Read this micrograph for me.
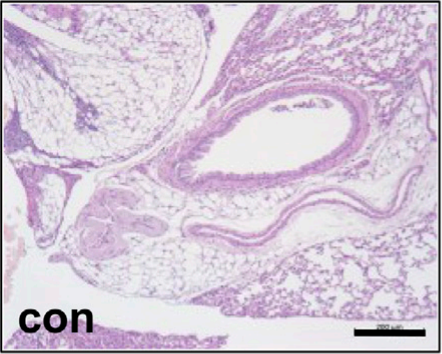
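This low-power view shows a large oval airway cut in cross section, with a clear open lumen. Its lining is a thin, even band of epithelium stained pale pink to purple.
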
